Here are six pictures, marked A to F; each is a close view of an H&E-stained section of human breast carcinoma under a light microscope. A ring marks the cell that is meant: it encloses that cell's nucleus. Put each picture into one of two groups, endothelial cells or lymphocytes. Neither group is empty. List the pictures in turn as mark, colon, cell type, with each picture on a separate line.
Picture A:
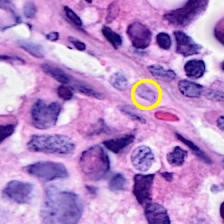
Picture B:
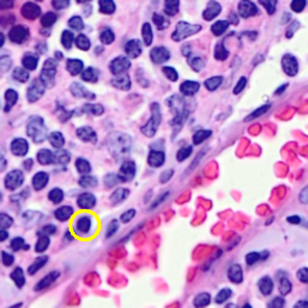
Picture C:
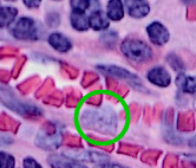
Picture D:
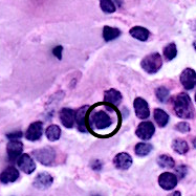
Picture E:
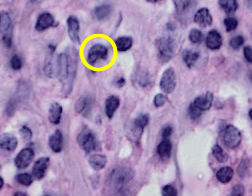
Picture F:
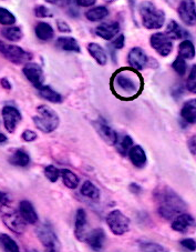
A: endothelial cell
B: lymphocyte
C: endothelial cell
D: lymphocyte
E: lymphocyte
F: lymphocyte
